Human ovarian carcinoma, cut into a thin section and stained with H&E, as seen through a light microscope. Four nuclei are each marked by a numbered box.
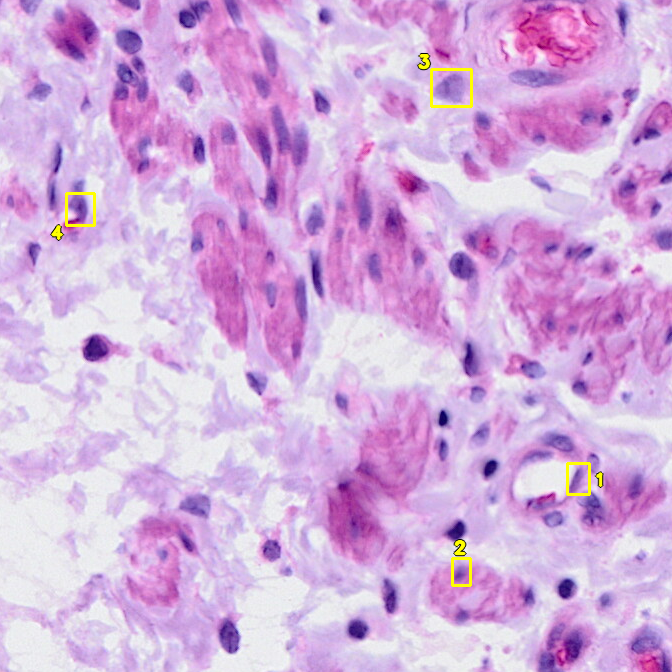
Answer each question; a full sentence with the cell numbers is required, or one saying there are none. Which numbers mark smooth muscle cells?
Cell 2 is the single numbered cell that is a smooth muscle cell.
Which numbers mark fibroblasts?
Of all the numbered cells, only one is a fibroblast, and that is cell 3.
